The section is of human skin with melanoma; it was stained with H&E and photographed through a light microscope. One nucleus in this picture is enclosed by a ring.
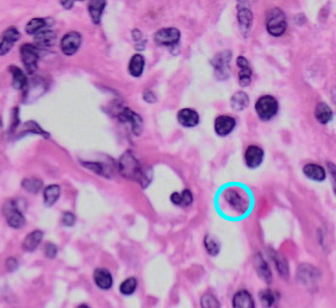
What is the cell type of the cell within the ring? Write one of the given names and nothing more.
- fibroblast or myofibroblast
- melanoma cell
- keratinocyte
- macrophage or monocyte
macrophage or monocyte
